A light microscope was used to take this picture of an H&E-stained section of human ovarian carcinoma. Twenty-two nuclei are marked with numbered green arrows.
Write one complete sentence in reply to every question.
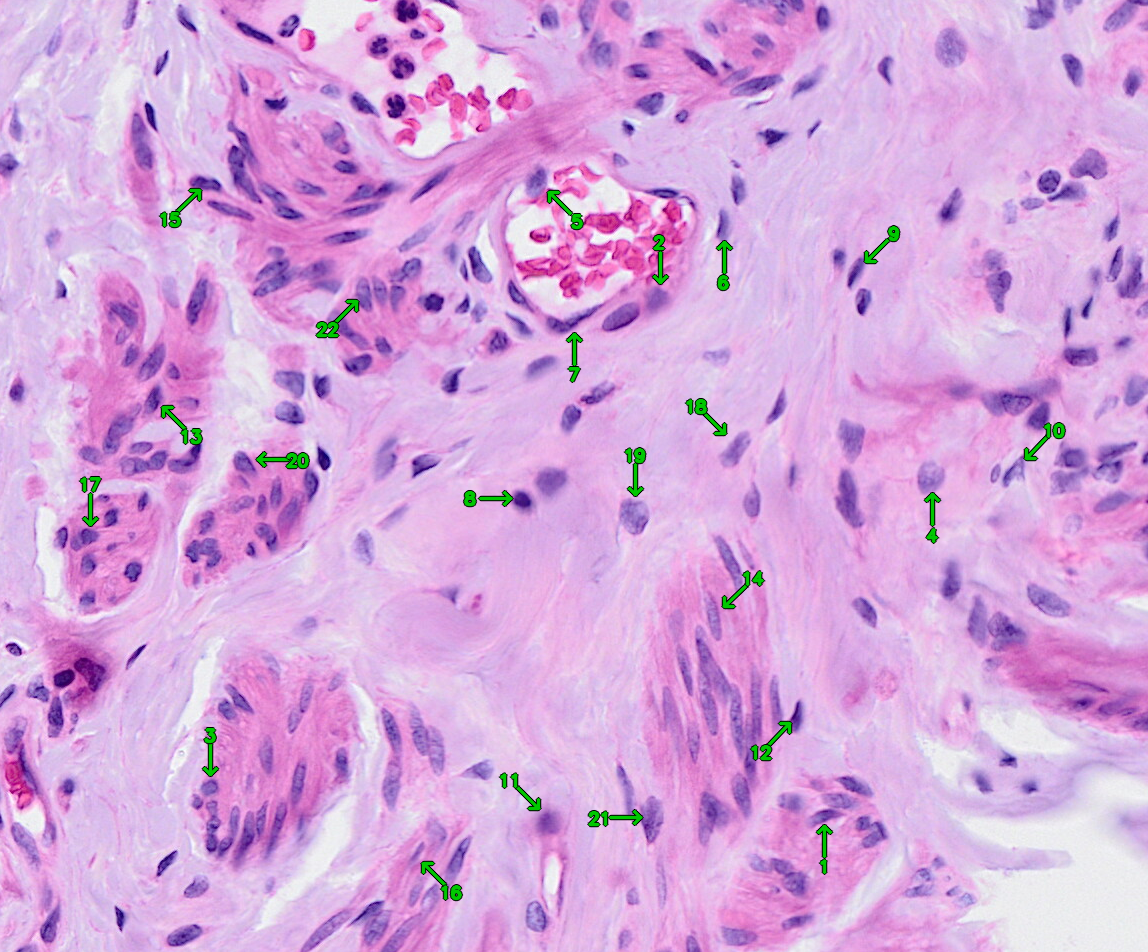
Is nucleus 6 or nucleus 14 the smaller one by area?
With nucleus 14 about 1.5 times its size, nucleus 6 is the smaller of the two.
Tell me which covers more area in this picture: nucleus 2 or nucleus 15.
Nucleus 2 is the larger one, covering about 1.5 times the area of nucleus 15.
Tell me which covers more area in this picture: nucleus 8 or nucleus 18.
At about 1.5 times the area of nucleus 8, nucleus 18 is the larger of the two.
